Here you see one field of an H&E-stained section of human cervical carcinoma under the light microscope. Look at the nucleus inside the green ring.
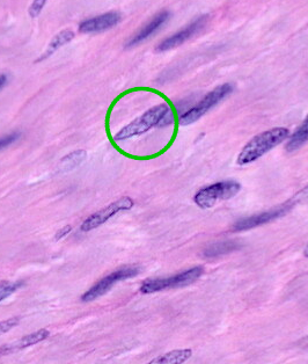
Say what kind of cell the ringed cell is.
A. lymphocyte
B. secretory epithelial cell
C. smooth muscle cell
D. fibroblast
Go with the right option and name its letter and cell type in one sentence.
Option D is accurate, for the ringed cell is a fibroblast.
